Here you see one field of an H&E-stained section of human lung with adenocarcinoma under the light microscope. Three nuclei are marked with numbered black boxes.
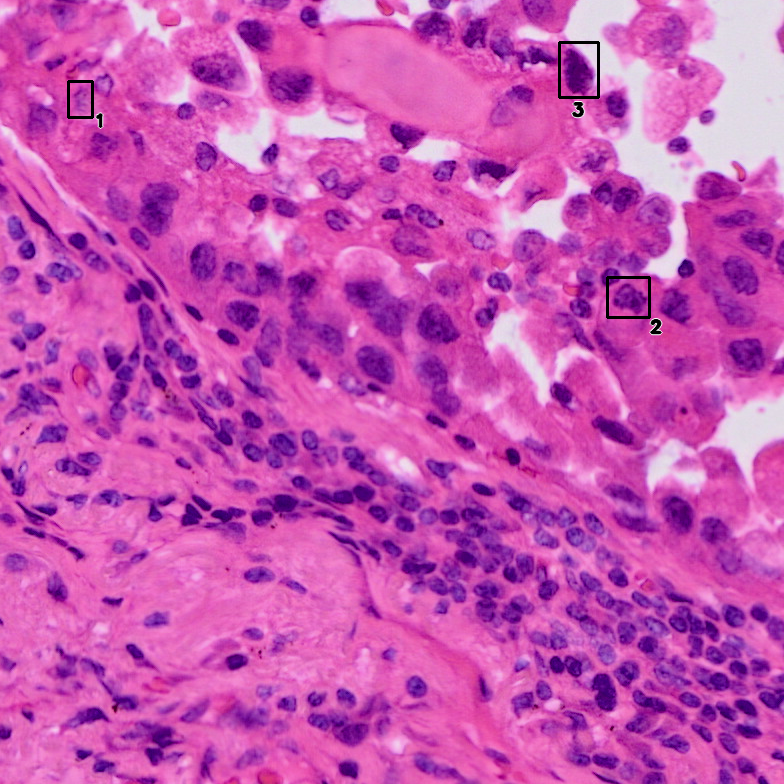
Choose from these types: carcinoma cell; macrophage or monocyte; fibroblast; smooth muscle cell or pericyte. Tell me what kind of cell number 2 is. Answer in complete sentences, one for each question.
Identified by the number 2, the cell is a carcinoma cell.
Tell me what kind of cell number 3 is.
The numbered cell 3 is identified here as a carcinoma cell.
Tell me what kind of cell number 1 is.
Cell 1 of the marked set is a macrophage or monocyte.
